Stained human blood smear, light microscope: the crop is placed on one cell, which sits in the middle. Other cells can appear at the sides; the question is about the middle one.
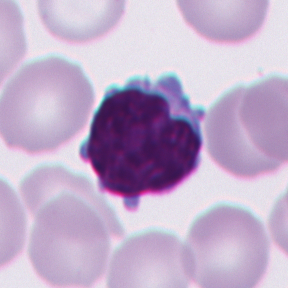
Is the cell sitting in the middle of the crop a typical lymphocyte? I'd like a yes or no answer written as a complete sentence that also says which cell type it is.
Yes, the middle of the crop is occupied by a typical lymphocyte.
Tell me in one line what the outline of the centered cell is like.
The margin of this cell is irregular, showing raggedness or projections instead of smoothness.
